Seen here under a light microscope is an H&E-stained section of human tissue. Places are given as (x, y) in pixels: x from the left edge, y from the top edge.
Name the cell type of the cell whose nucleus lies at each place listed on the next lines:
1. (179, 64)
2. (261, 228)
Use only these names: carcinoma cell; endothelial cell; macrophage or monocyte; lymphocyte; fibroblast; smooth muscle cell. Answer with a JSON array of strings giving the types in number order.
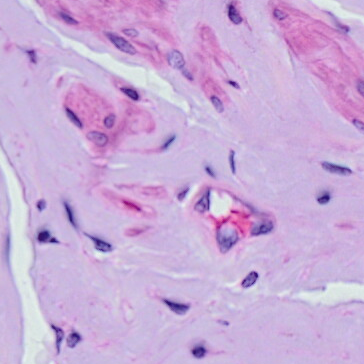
["smooth muscle cell", "endothelial cell"]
